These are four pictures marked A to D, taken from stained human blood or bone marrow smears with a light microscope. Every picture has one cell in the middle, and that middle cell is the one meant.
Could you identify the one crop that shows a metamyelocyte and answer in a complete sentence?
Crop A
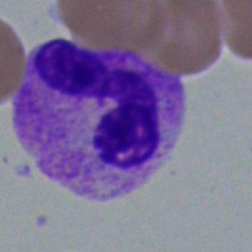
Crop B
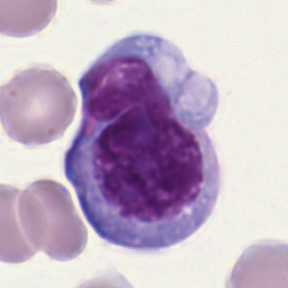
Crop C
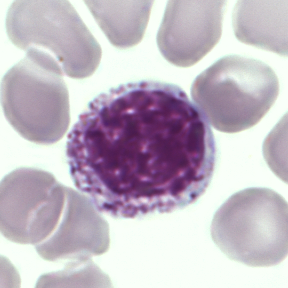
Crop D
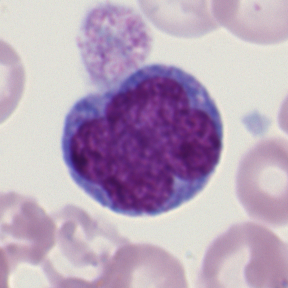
Of these crops, it is crop C that shows a metamyelocyte.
